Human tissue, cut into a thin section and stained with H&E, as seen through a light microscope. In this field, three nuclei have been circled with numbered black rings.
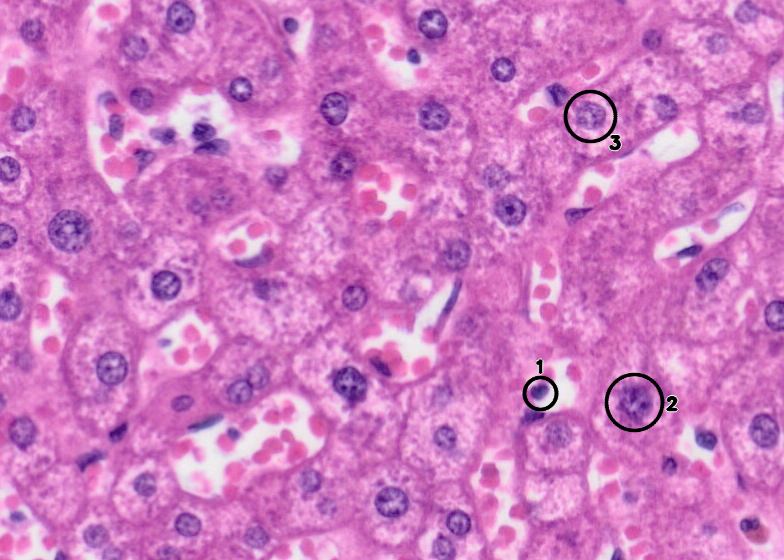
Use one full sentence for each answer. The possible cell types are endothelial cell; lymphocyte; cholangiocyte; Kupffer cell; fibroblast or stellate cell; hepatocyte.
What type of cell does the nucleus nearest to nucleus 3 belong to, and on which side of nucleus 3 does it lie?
It is an endothelial cell, whose nucleus lies above and to the left of nucleus 3.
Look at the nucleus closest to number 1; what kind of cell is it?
Closest to number 1 lies the nucleus of a fibroblast or stellate cell.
